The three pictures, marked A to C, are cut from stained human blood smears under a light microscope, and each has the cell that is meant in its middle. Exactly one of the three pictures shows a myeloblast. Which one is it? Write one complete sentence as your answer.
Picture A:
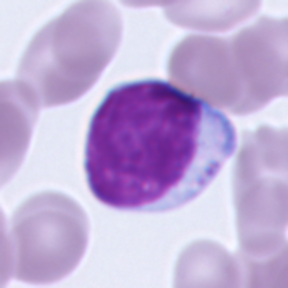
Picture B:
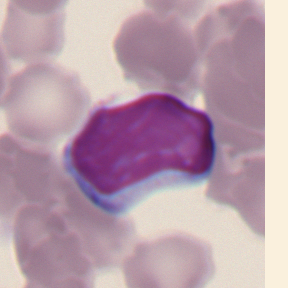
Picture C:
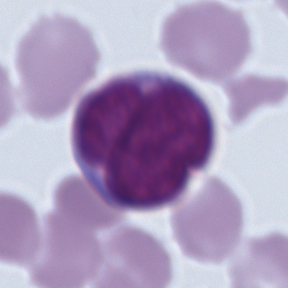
Picture C shows the myeloblast.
